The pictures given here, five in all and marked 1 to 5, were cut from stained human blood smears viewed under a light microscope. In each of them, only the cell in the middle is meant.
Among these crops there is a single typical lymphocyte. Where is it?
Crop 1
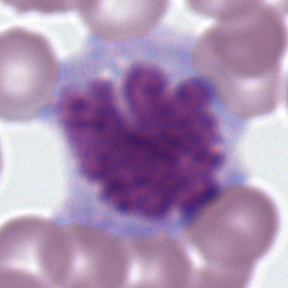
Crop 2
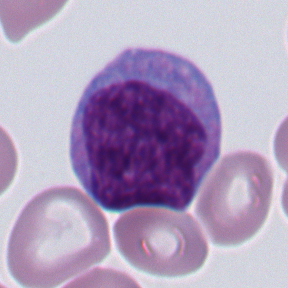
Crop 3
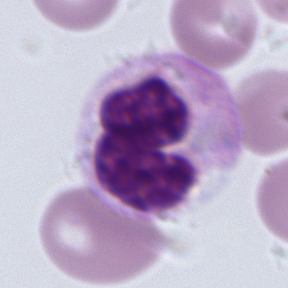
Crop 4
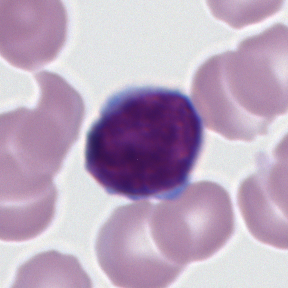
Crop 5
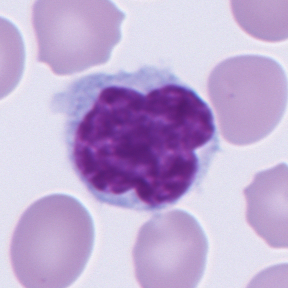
4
